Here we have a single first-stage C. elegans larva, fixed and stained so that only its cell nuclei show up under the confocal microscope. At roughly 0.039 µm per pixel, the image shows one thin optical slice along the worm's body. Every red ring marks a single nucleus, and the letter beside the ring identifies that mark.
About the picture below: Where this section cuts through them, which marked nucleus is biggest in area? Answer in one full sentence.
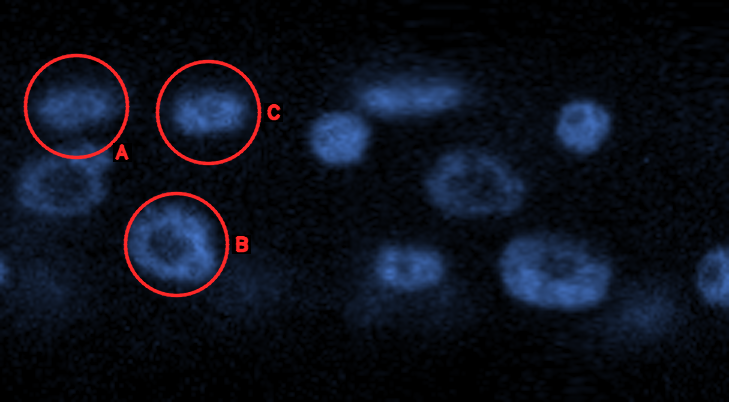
B is the one with the largest cut area.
